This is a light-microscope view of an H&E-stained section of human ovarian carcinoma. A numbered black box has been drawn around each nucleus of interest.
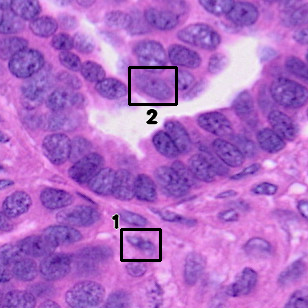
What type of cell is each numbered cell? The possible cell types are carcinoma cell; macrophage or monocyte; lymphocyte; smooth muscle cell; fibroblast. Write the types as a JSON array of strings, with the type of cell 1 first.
["fibroblast", "carcinoma cell"]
